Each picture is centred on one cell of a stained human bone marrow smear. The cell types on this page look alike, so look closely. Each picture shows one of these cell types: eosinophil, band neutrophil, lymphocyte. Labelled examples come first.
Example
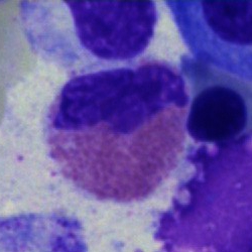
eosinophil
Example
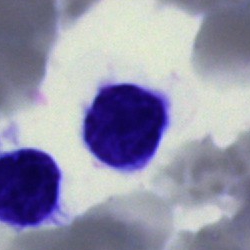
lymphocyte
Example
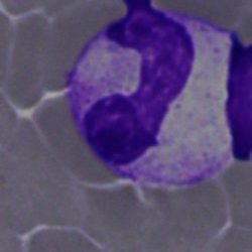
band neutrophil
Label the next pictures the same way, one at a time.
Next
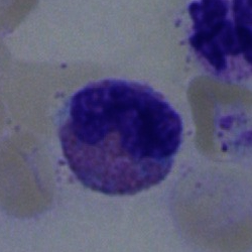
eosinophil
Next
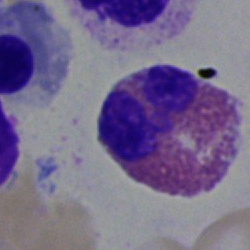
eosinophil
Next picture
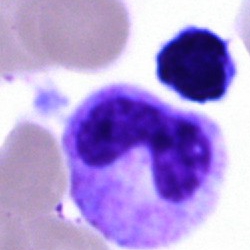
band neutrophil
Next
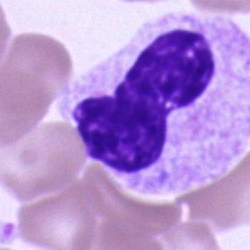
band neutrophil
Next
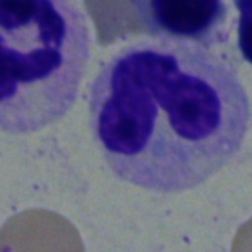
band neutrophil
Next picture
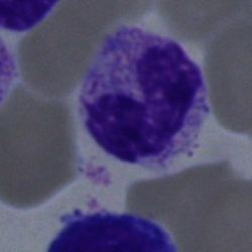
band neutrophil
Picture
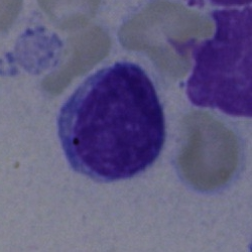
lymphocyte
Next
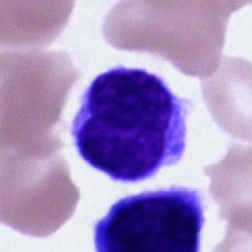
lymphocyte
